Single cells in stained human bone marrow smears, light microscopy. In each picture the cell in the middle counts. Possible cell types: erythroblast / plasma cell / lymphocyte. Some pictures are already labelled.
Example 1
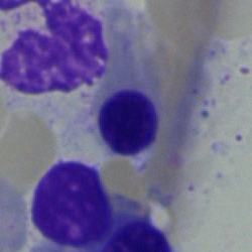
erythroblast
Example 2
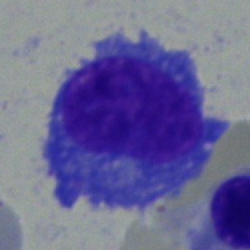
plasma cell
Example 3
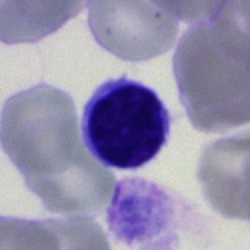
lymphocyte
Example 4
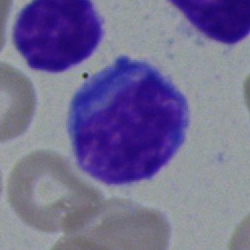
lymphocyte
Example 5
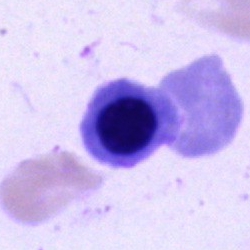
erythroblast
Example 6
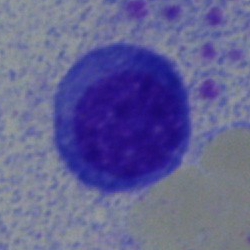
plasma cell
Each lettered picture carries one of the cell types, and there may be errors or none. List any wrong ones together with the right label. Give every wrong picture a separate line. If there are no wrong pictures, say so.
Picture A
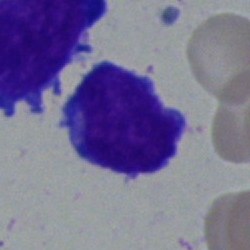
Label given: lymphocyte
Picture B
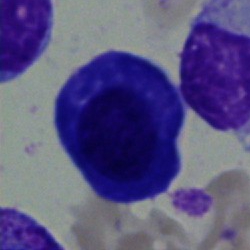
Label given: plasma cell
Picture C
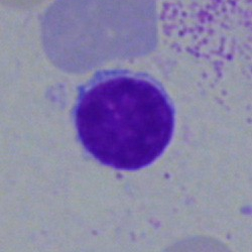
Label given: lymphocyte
All labels are correct.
